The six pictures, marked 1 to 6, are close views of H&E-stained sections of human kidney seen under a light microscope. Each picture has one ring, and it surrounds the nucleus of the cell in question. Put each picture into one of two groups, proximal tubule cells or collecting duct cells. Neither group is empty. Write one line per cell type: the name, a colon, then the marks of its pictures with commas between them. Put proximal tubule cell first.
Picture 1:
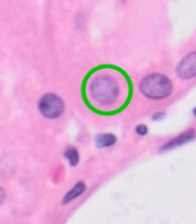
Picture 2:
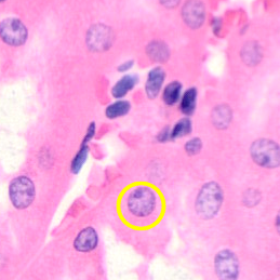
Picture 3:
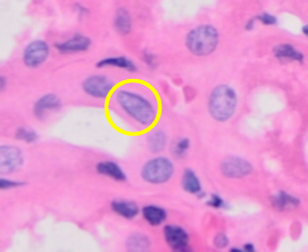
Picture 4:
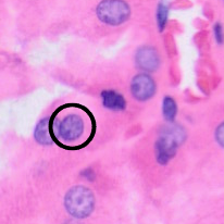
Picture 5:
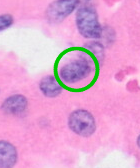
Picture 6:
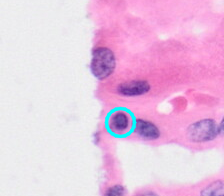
proximal tubule cell: 1, 2, 4
collecting duct cell: 3, 5, 6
